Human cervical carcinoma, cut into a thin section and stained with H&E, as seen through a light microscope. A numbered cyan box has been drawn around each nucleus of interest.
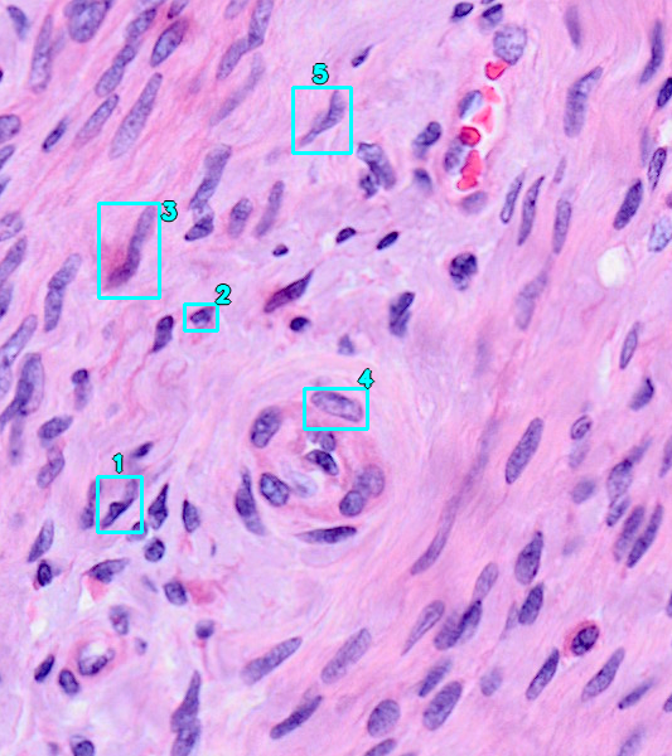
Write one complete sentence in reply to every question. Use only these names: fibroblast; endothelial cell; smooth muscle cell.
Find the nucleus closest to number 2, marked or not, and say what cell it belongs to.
The nucleus nearest to number 2 is that of a smooth muscle cell.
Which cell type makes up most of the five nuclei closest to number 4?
Endothelial cells account for more than half of the five nuclei nearest to number 4.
